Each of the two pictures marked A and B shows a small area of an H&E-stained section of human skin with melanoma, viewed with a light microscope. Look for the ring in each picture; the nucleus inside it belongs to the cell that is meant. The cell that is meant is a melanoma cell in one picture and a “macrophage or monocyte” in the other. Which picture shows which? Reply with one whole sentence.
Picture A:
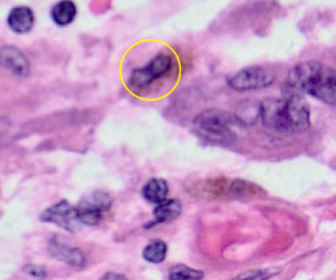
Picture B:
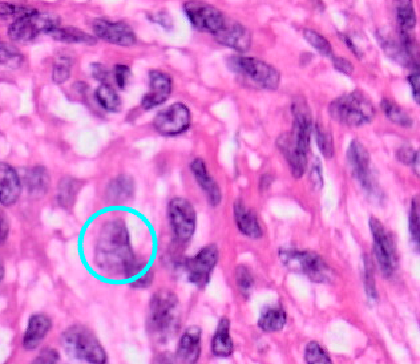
It is picture A that shows a “macrophage or monocyte”, and picture B that shows a melanoma cell.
